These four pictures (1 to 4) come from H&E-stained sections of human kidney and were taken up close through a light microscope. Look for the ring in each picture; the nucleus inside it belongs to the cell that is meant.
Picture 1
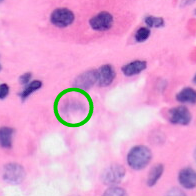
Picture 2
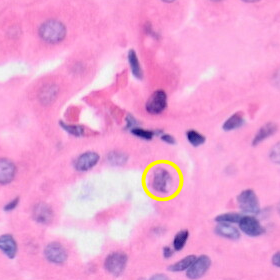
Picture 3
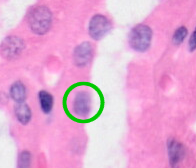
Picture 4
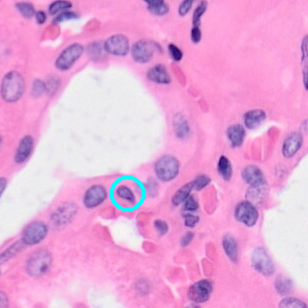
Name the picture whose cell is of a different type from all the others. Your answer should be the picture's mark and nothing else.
4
